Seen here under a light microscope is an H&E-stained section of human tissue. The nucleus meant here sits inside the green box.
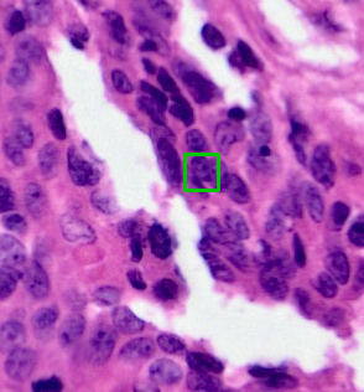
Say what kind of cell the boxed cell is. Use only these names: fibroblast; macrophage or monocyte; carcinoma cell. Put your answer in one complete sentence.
In the tissue at hand, the boxed cell is a carcinoma cell.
